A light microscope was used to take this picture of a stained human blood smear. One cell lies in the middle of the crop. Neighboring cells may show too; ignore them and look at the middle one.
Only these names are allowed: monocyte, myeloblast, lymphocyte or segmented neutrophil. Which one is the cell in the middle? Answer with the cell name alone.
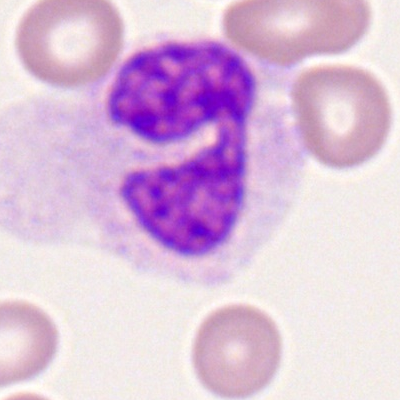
monocyte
